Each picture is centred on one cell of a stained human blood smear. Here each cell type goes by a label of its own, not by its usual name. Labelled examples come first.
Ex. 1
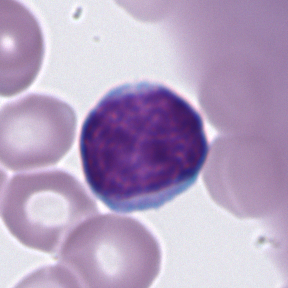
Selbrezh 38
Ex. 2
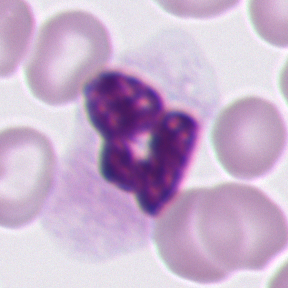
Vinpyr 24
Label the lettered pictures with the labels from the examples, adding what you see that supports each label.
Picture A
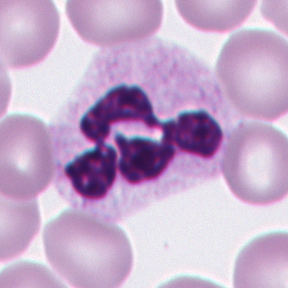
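Vinpyr 24. Evidence: The cytoplasm is plentiful and pale pinkish-lilac.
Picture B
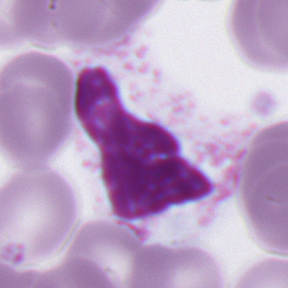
Vinpyr 24. Evidence: The area around the nucleus is pale and nearly colourless apart from the granules.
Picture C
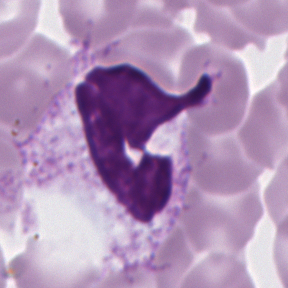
Vinpyr 24. Evidence: The cytoplasm is abundant and very pale, almost colourless.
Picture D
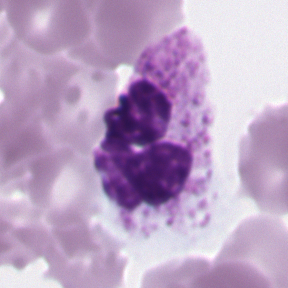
Vinpyr 24. Evidence: The cytoplasm is plentiful and pale, with a faint lilac tint.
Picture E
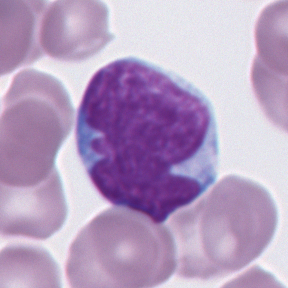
Selbrezh 38. Evidence: The cytoplasm forms a narrow rim that is widest at the left and lower right.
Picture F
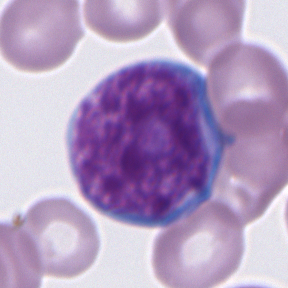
Selbrezh 38. Evidence: The cytoplasm is a clear blue.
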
